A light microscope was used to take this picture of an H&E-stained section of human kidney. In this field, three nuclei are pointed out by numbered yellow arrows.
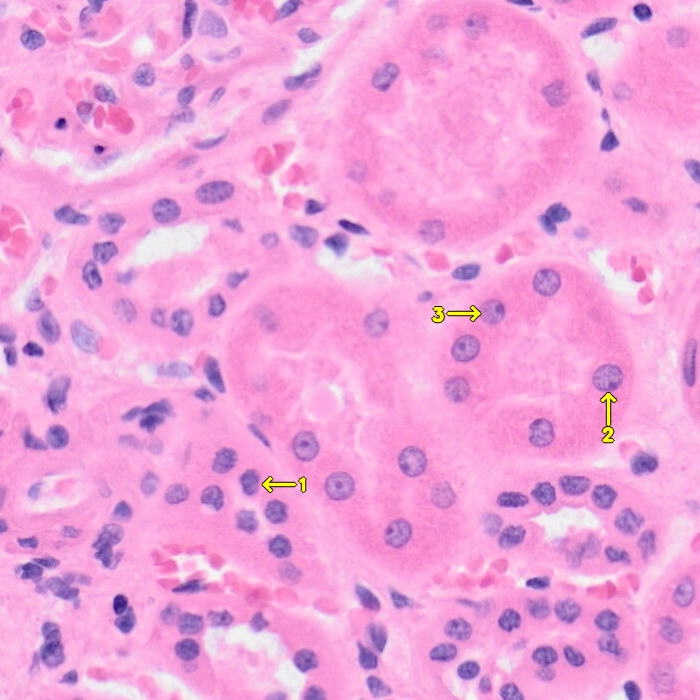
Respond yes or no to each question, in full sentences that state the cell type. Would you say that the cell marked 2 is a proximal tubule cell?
Yes, the cell carrying number 2 is a proximal tubule cell.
